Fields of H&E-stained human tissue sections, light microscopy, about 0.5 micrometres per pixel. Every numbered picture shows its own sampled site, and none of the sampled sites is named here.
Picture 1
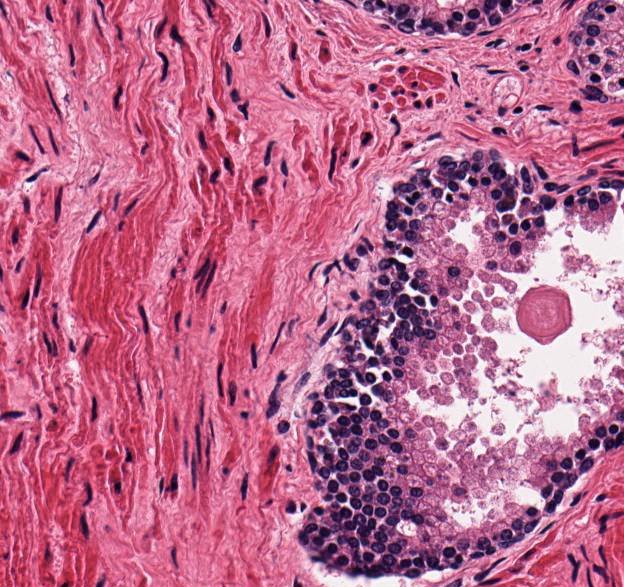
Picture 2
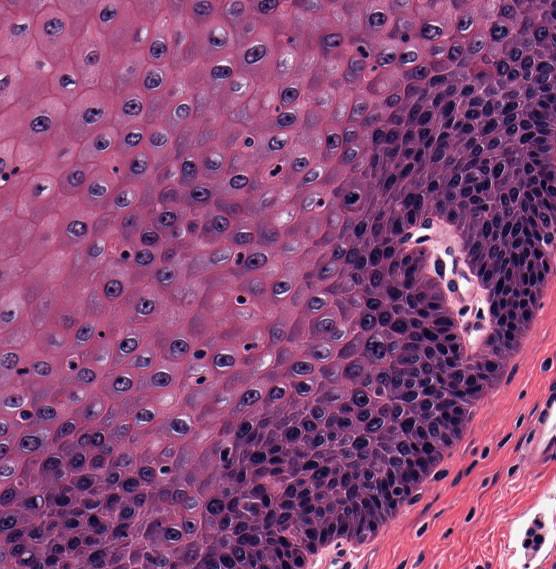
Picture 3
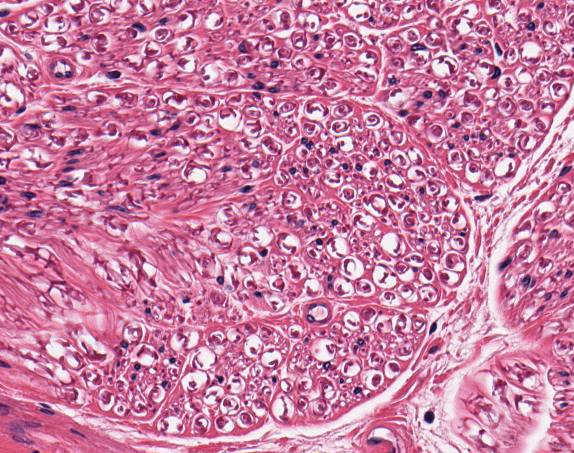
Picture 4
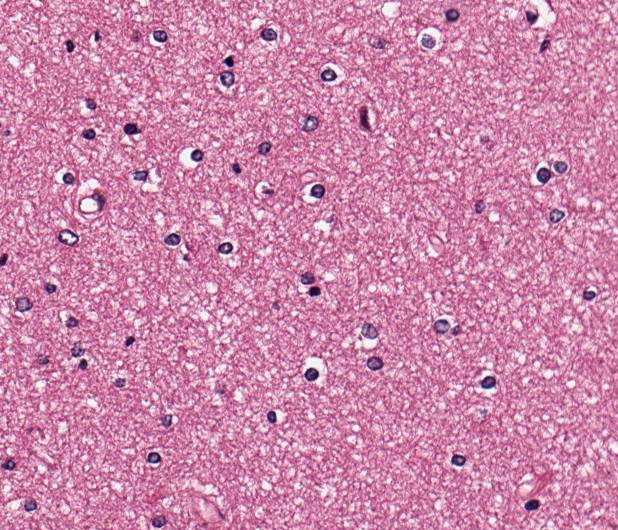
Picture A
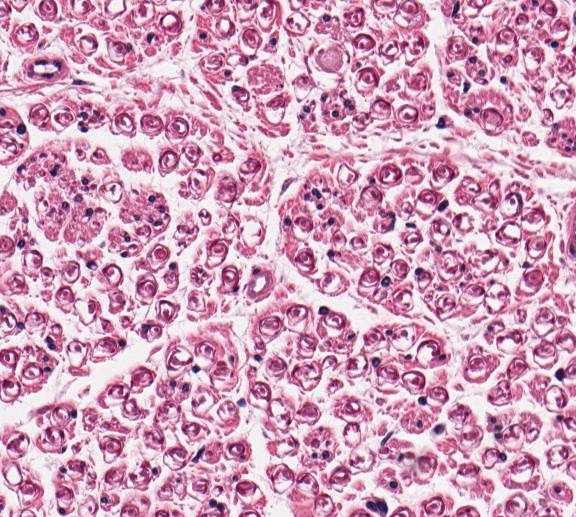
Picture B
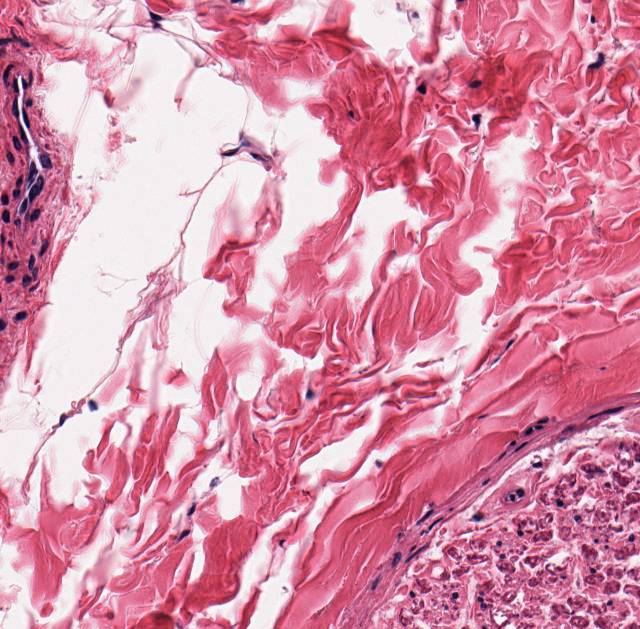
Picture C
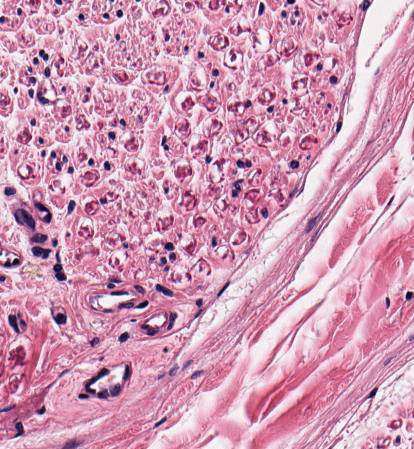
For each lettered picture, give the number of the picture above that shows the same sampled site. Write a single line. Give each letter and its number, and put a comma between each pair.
A 3, B 3, C 3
